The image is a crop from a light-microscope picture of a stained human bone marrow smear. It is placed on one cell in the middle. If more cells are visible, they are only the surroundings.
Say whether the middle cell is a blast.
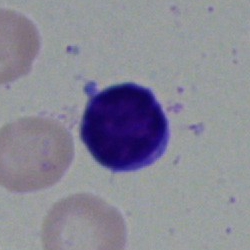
no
